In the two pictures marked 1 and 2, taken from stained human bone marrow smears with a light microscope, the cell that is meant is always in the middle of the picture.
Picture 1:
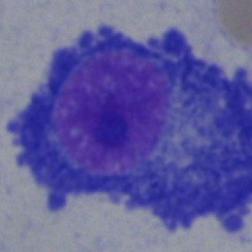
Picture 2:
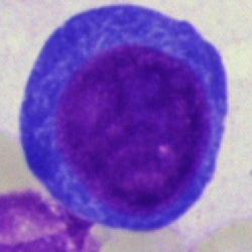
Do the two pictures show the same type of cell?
no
